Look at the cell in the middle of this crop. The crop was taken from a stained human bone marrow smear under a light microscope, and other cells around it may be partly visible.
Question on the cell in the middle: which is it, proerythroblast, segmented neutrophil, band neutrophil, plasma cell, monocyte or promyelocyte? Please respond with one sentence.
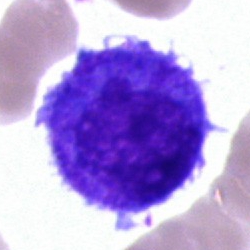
In this crop, the cell at the very middle is a promyelocyte.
